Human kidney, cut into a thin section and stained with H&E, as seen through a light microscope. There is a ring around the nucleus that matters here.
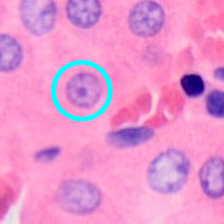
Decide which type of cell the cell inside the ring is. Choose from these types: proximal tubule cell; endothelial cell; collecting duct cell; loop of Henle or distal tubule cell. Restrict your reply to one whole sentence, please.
In this tissue section, the cell inside the ring is to be classed as a proximal tubule cell.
